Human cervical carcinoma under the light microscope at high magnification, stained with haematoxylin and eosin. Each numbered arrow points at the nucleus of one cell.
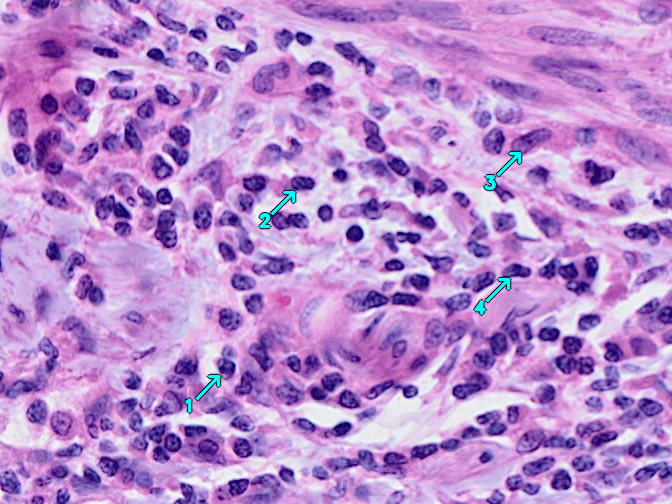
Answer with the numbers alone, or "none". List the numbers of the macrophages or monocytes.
3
